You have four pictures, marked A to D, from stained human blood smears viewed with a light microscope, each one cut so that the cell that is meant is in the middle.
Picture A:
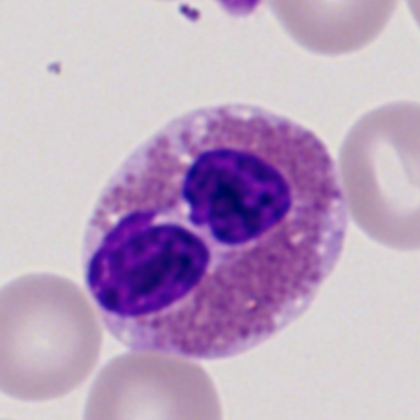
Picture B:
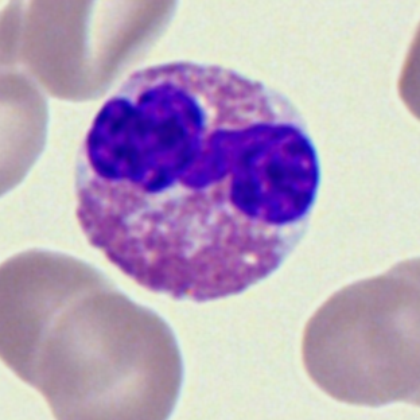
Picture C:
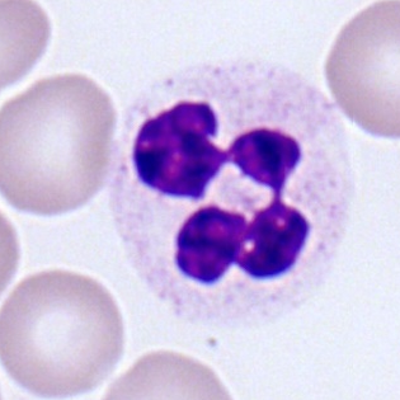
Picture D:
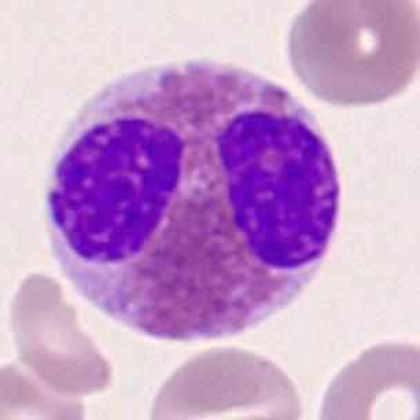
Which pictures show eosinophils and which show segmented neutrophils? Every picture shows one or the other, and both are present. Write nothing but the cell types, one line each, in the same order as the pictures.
eosinophil
eosinophil
segmented neutrophil
eosinophil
